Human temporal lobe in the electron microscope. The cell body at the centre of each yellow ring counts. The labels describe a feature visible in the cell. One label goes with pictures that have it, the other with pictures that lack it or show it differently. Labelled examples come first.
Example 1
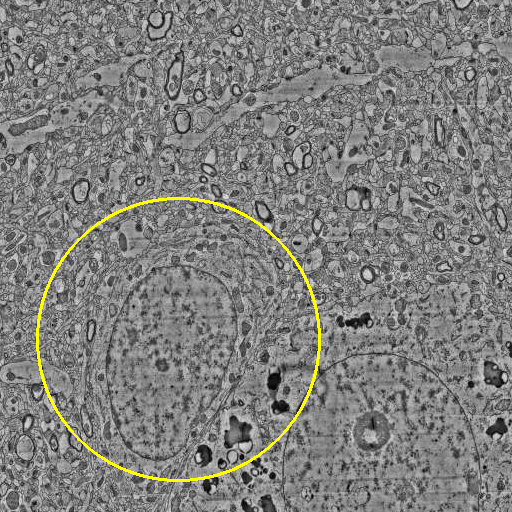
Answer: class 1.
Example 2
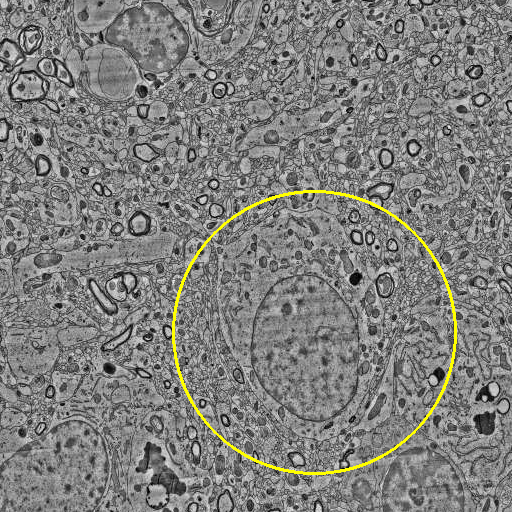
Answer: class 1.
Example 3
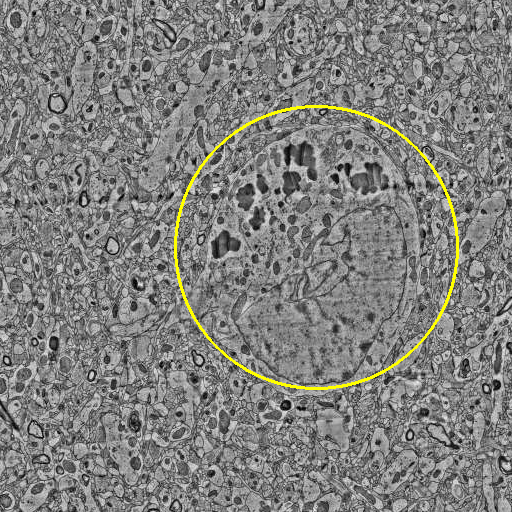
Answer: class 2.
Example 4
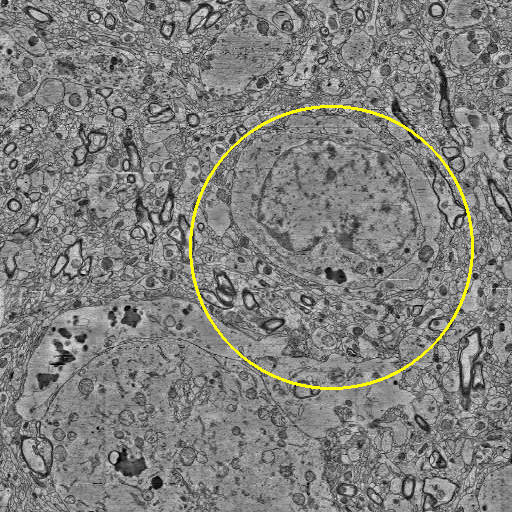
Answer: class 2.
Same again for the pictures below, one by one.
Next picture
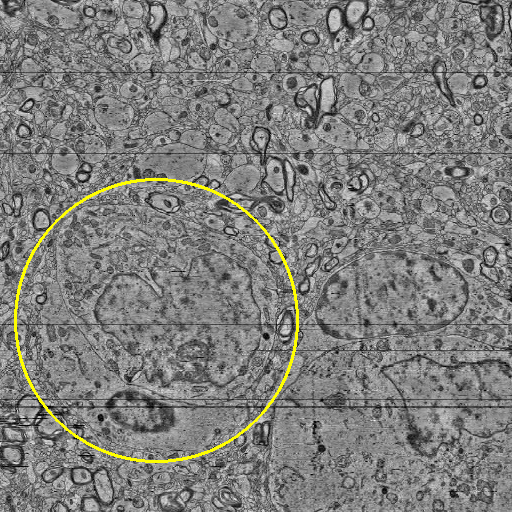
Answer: class 2.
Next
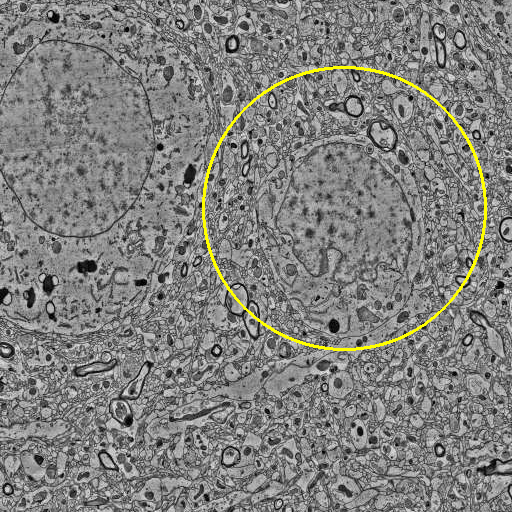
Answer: class 2.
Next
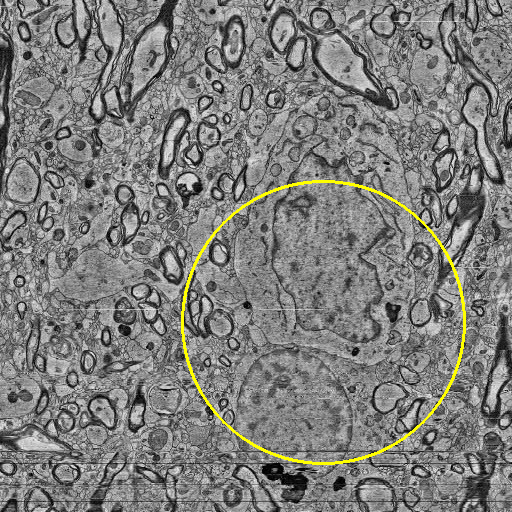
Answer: class 2.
